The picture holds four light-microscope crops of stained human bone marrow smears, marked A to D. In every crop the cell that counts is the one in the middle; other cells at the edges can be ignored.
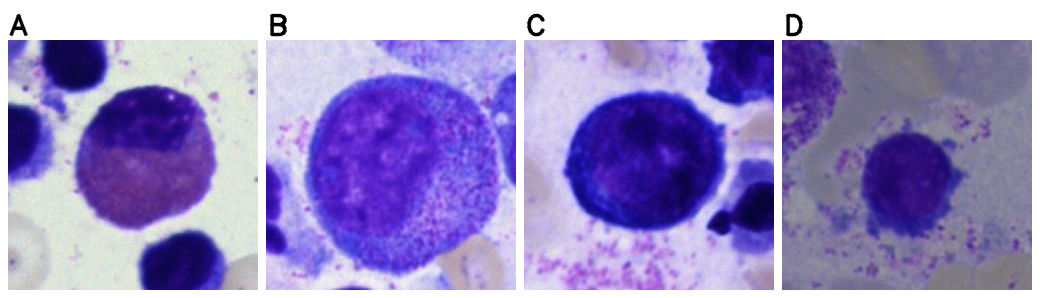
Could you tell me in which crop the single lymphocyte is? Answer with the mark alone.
D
